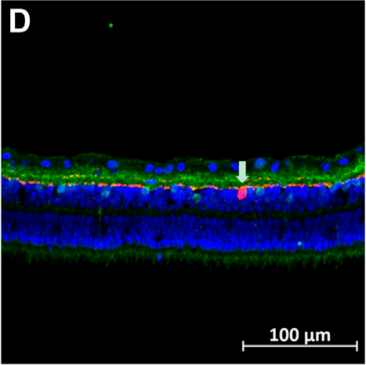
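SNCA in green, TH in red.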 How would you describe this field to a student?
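This is a cross-section of the retina in which the layered blue nuclei of the ganglion cell layer, inner nuclear layer and outer nuclear layer are seen. Green labelling is strongest in the inner plexiform layer and around the sparse nuclei of the ganglion cell layer, with weaker green in the outer layers at the bottom. A thin red band runs along the border between the inner plexiform layer and the inner nuclear layer, and a single brightly red cell body sits at the inner edge of the inner nuclear layer beneath the arrow. Where red and green meet along the inner plexiform layer they appear yellowish.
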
